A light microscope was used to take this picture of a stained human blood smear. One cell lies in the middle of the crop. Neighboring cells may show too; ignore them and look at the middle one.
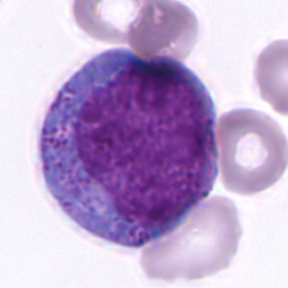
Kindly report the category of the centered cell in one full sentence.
The central cell, amid any neighbouring cells, is a promyelocyte.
